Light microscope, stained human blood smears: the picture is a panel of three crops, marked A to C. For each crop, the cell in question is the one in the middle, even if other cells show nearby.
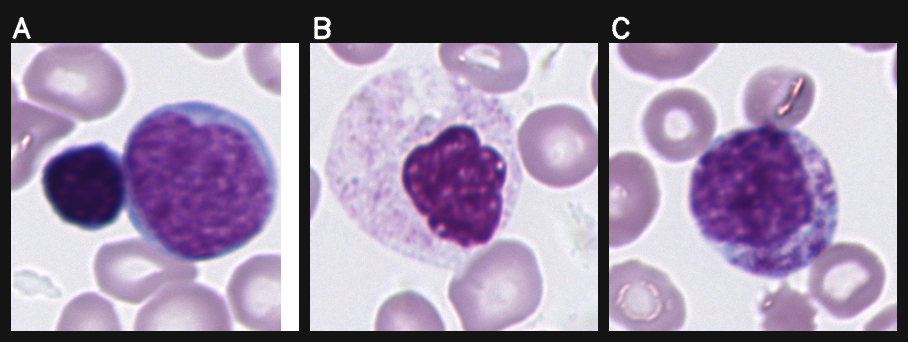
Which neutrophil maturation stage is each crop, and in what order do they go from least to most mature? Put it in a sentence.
Least to most mature, the order stands as crop A (a blast), crop C (a myelocyte) and crop B (a segmented neutrophil).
